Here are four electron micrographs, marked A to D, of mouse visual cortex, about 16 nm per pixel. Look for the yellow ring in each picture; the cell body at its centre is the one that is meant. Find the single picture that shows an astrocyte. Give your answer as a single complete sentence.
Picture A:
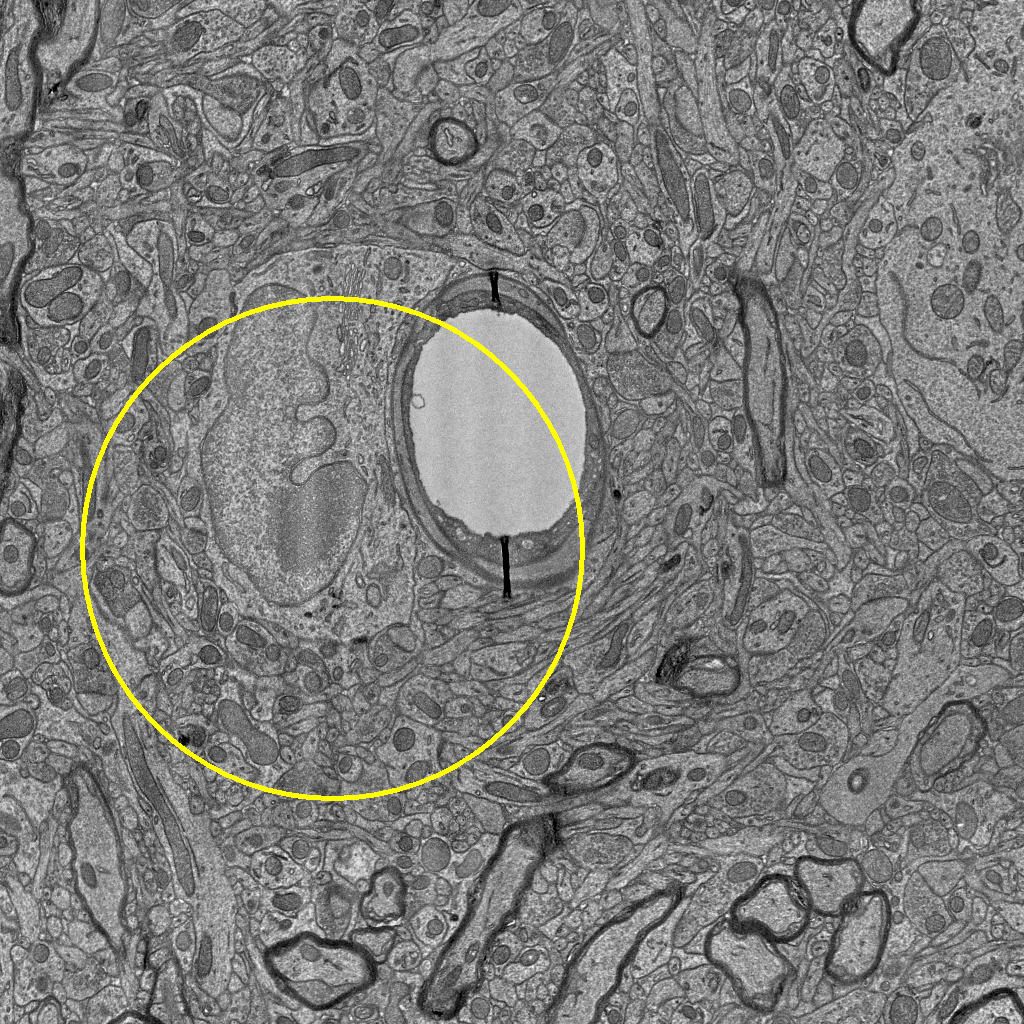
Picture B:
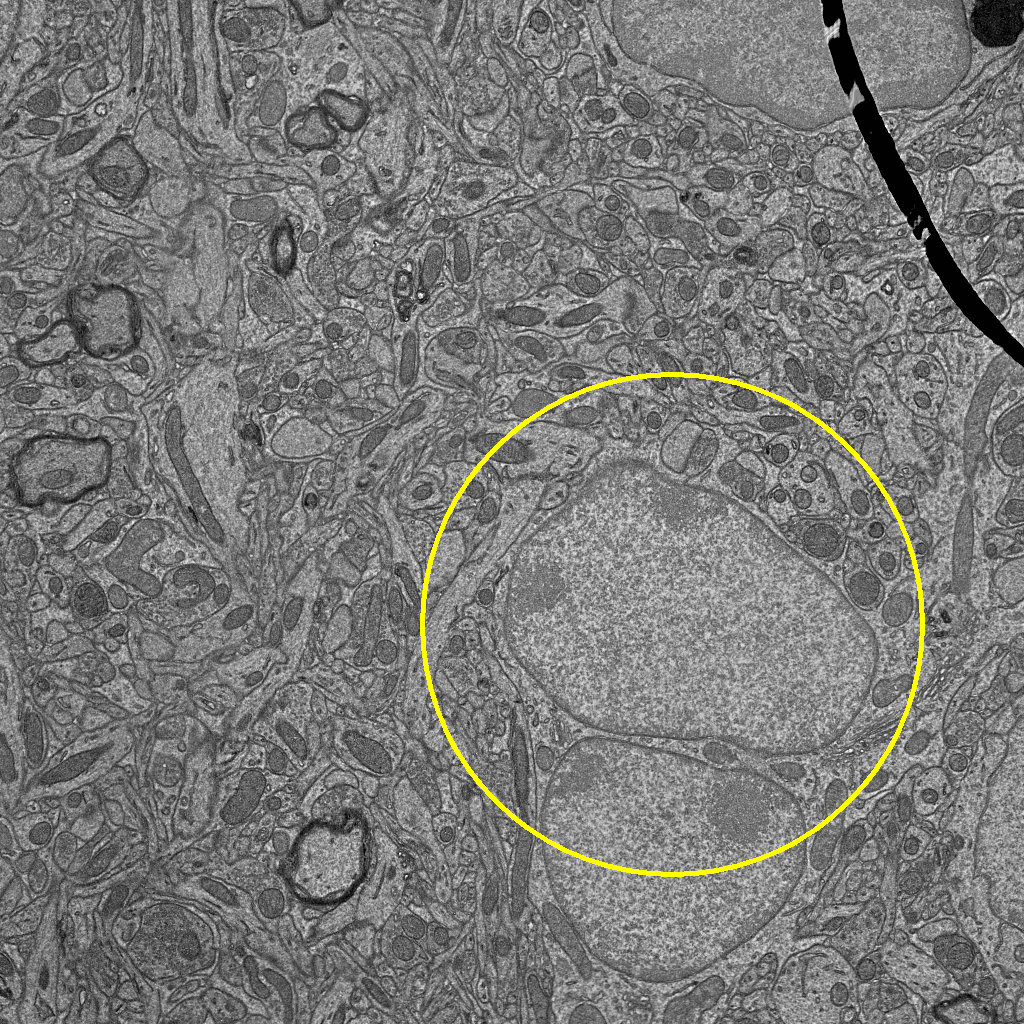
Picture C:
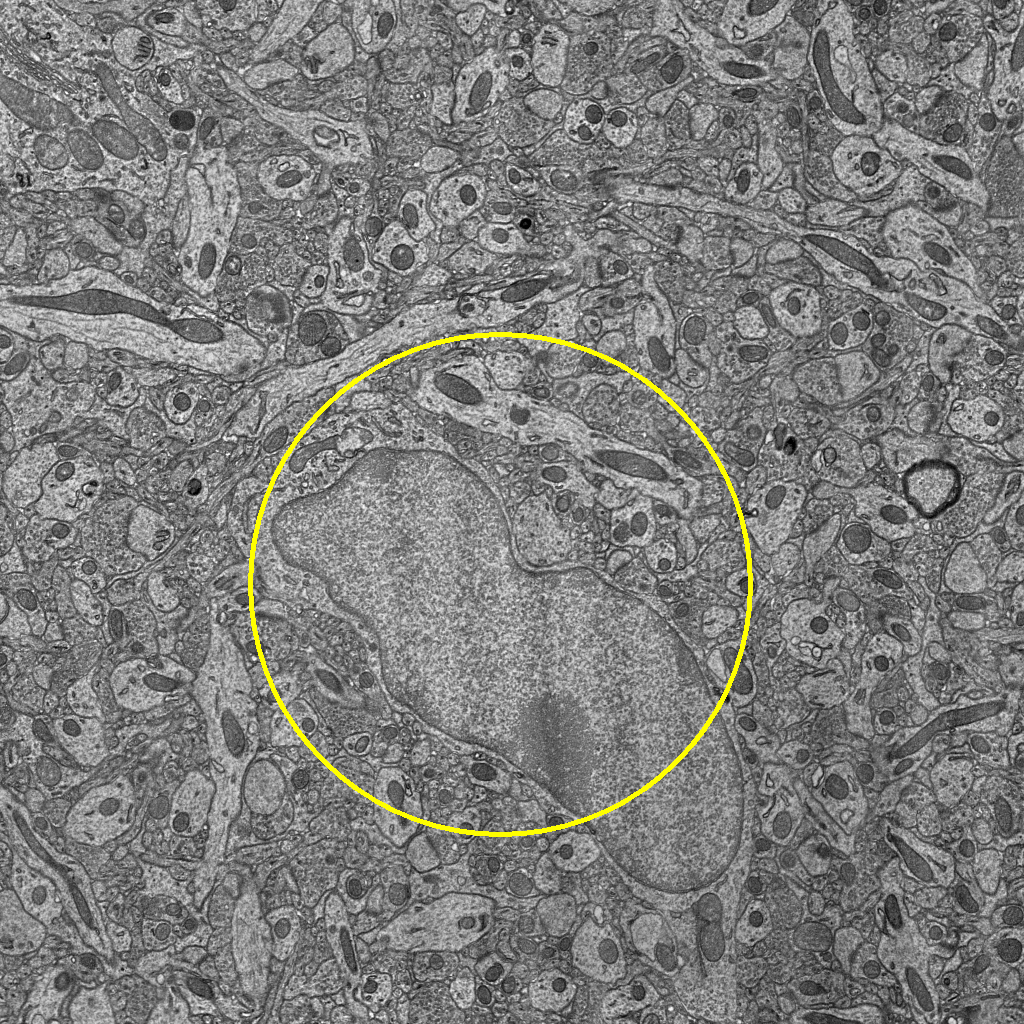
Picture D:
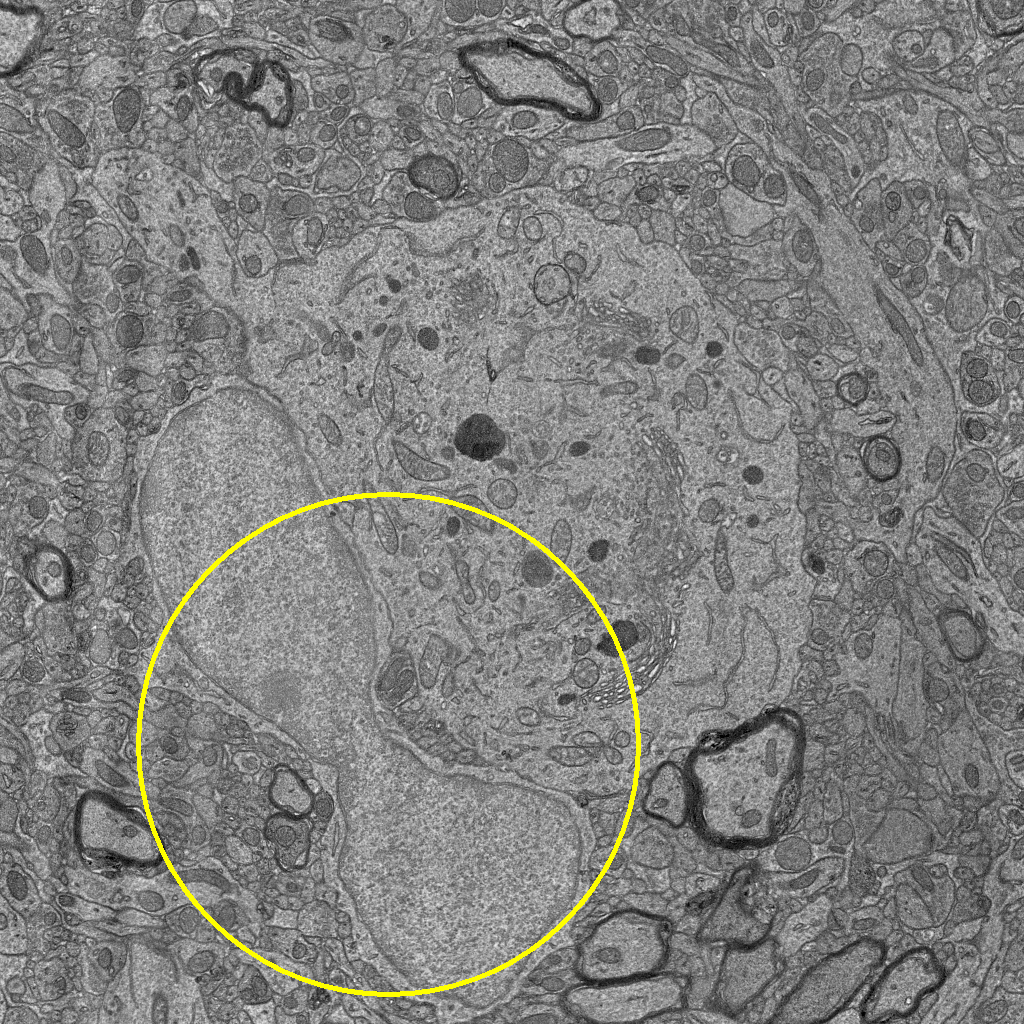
The astrocyte is the one in picture B.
